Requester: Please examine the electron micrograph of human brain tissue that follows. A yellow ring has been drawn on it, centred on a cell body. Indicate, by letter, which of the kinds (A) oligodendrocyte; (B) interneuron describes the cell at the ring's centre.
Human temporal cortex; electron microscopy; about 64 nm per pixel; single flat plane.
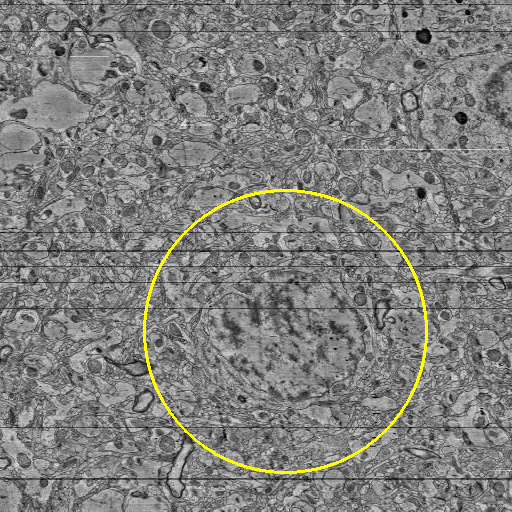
B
